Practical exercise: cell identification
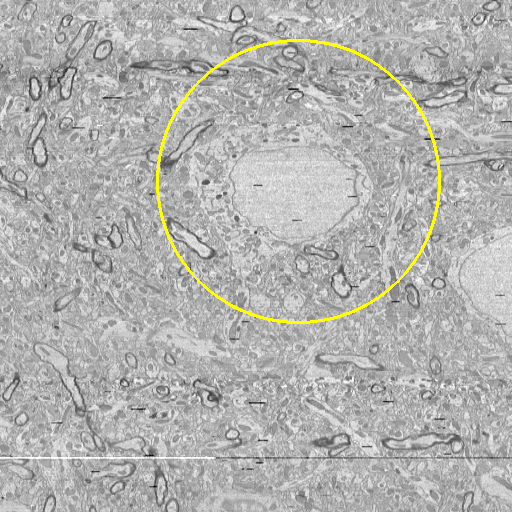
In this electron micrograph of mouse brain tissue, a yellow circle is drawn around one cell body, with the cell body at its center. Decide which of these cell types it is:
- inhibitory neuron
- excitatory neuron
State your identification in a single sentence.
The ringed cell is an inhibitory neuron.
